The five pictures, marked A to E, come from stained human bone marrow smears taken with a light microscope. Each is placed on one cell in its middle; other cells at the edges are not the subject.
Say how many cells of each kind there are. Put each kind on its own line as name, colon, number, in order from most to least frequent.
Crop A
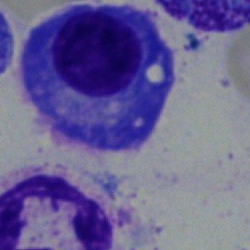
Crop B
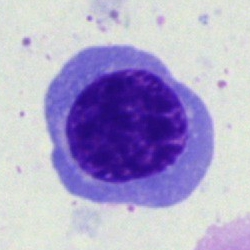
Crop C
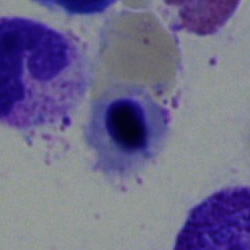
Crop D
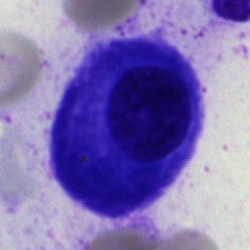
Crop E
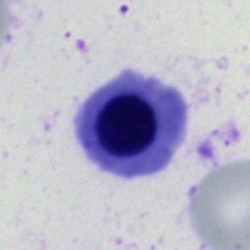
erythroblast: 3
plasma cell: 2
